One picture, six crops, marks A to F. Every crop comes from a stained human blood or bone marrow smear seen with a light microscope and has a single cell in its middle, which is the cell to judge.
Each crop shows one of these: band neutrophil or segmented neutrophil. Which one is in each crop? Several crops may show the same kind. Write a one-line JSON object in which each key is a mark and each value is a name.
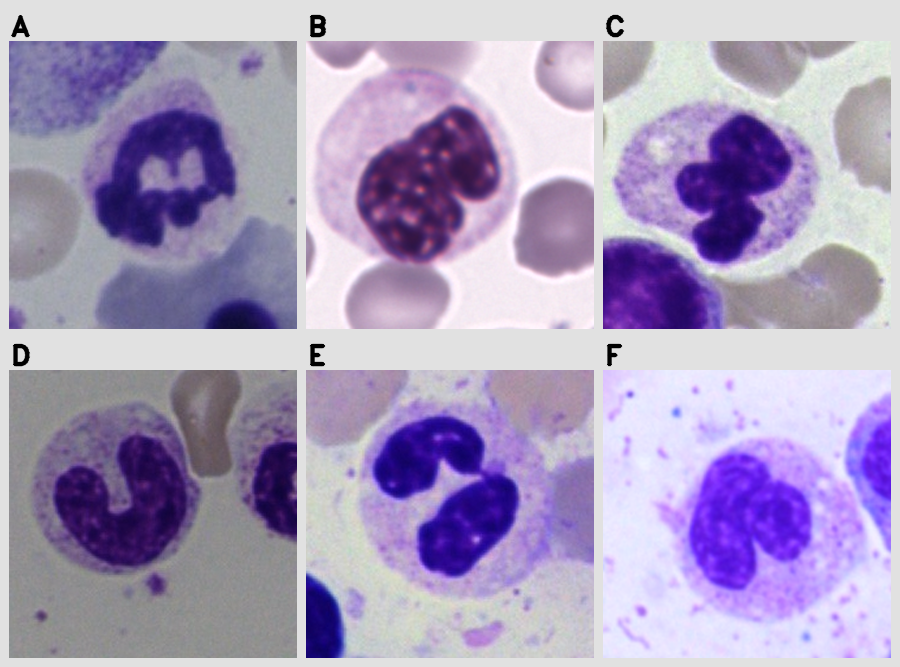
{"A": "segmented neutrophil", "B": "segmented neutrophil", "C": "segmented neutrophil", "D": "band neutrophil", "E": "segmented neutrophil", "F": "segmented neutrophil"}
